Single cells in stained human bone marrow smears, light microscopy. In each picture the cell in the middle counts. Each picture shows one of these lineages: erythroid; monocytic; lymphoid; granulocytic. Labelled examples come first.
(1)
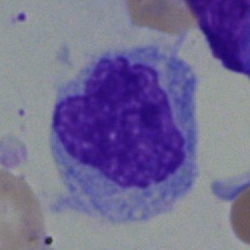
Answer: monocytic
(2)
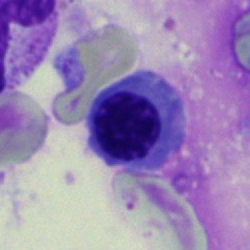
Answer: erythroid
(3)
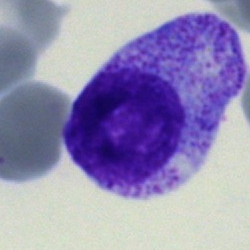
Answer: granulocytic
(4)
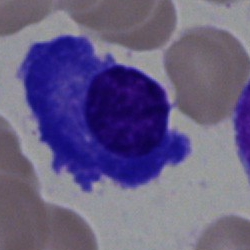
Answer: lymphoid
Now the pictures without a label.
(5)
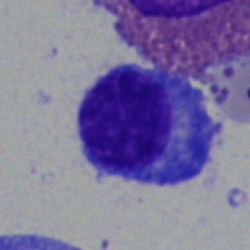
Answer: lymphoid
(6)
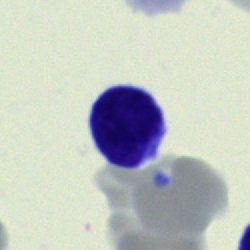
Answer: lymphoid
